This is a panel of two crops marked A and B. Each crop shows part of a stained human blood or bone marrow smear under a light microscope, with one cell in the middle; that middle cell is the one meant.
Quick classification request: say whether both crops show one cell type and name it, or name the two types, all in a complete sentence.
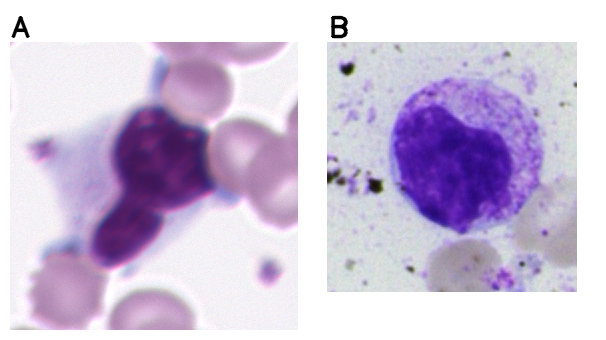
No, a monocyte is what crop A shows, and a metamyelocyte is what crop B shows.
